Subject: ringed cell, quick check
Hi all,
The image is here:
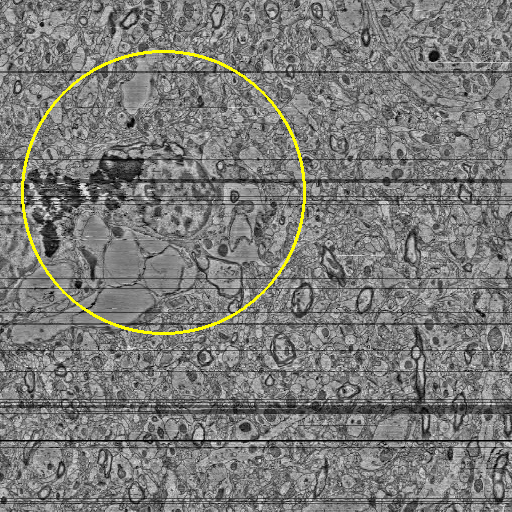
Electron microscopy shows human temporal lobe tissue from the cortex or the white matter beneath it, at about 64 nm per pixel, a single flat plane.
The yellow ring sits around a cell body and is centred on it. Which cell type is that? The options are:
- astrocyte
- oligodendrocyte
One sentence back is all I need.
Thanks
That ringed cell is an oligodendrocyte.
